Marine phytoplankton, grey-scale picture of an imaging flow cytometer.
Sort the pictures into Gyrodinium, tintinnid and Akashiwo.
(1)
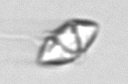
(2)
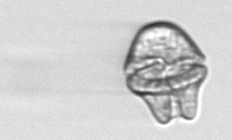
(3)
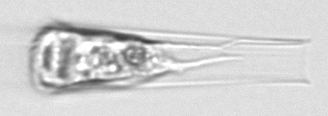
Gyrodinium: 1
Akashiwo: 2
Tintinnids: 3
